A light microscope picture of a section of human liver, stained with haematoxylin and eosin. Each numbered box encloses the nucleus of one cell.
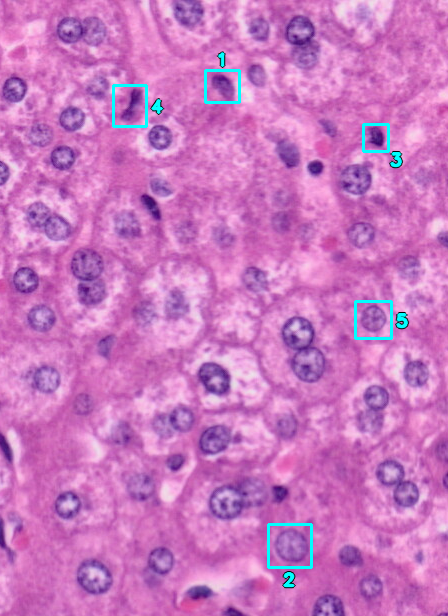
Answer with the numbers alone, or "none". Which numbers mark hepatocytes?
2, 5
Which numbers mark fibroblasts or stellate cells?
1, 3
